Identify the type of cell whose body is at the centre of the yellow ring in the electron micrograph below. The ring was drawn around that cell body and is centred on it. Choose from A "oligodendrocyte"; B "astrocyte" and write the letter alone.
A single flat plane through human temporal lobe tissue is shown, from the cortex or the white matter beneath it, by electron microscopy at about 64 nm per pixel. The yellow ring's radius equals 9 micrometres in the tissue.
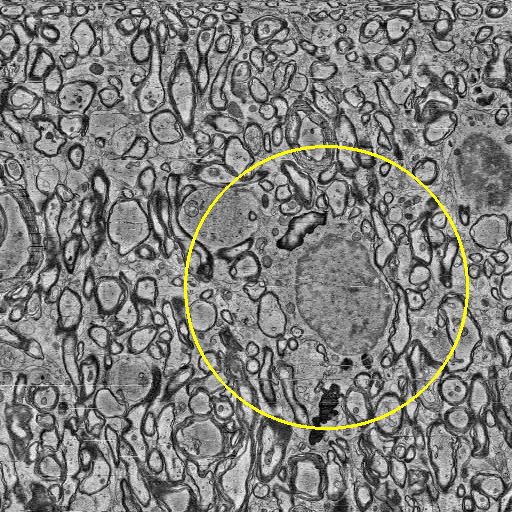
A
